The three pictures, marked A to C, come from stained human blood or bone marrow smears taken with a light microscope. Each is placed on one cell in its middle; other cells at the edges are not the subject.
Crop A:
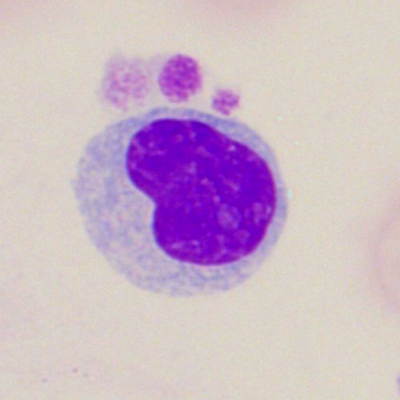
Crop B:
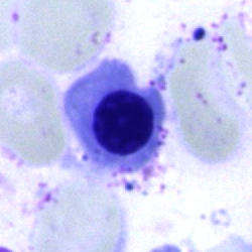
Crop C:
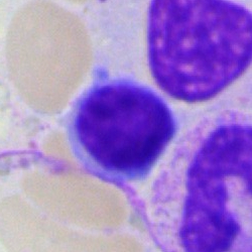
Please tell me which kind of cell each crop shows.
A: lymphocyte
B: erythroblast
C: lymphocyte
